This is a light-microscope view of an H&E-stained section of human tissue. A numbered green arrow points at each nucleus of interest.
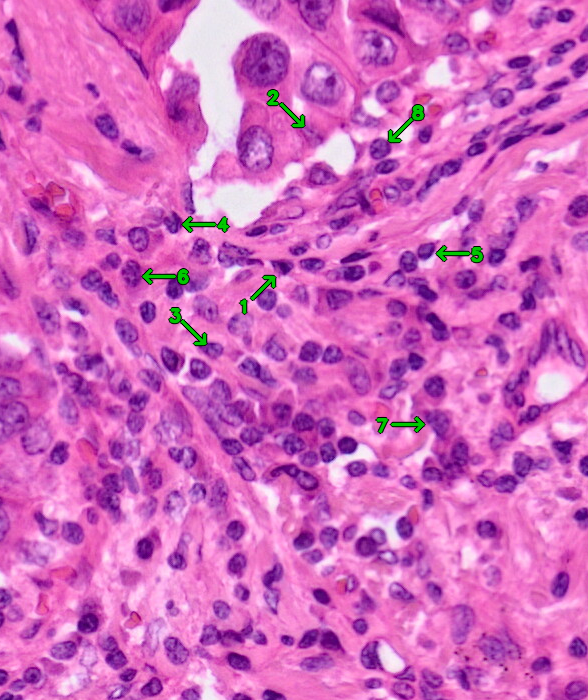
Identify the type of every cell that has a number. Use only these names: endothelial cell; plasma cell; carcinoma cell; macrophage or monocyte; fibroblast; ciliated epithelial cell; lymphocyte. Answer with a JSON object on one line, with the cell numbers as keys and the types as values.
{"1": "lymphocyte", "2": "carcinoma cell", "3": "lymphocyte", "4": "lymphocyte", "5": "lymphocyte", "6": "plasma cell", "7": "plasma cell", "8": "lymphocyte"}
